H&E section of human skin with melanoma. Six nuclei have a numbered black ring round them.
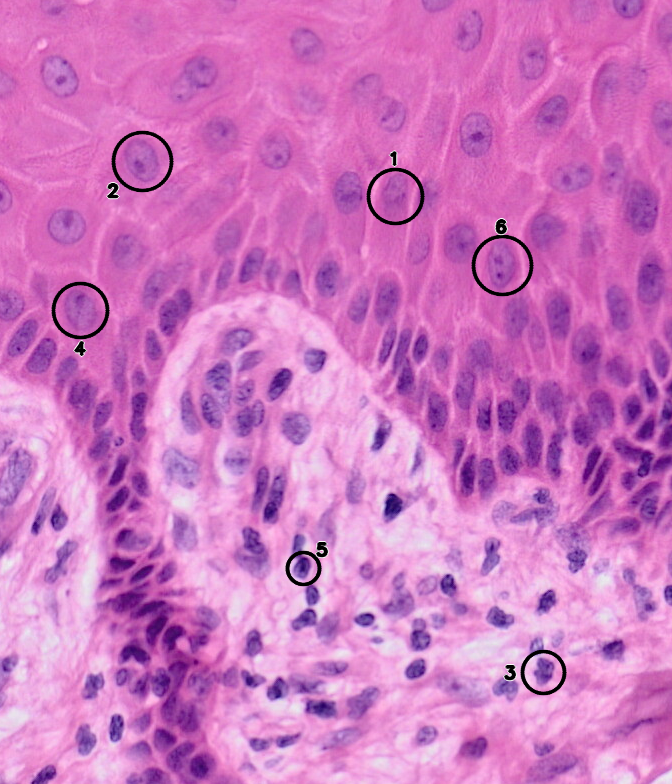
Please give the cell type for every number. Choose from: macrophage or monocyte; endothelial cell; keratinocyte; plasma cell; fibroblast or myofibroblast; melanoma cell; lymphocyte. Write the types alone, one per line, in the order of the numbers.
keratinocyte
keratinocyte
lymphocyte
keratinocyte
lymphocyte
keratinocyte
